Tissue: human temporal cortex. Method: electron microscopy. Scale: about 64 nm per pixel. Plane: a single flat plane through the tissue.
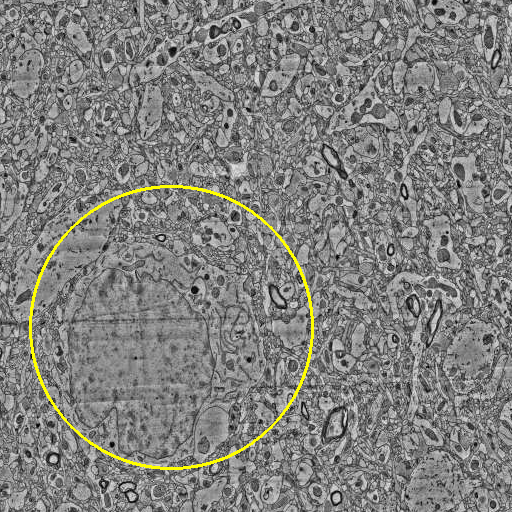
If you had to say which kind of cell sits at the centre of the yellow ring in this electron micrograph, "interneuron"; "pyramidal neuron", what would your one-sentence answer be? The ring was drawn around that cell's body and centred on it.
The cell sitting at the centre of the ring is an interneuron.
